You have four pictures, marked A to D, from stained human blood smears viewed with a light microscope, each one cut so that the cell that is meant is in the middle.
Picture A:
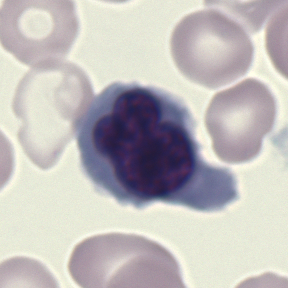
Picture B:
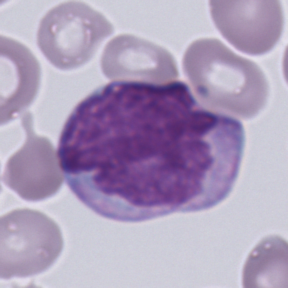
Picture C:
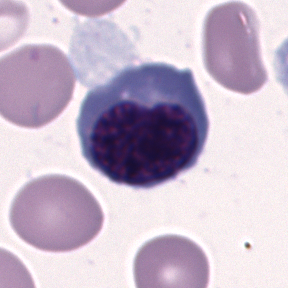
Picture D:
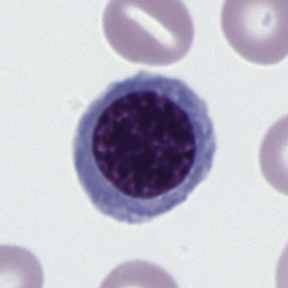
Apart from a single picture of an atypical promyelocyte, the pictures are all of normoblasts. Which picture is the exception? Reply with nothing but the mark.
B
